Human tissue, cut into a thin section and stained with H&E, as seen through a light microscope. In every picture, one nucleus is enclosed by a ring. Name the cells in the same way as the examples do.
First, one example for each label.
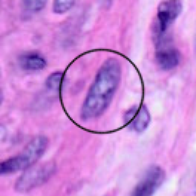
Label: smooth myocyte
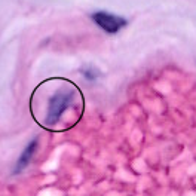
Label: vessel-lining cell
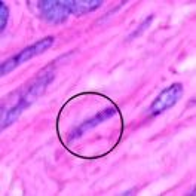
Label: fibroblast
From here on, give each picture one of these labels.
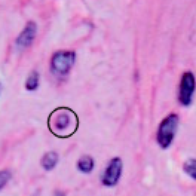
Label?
smooth myocyte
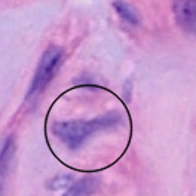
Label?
smooth myocyte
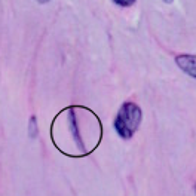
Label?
fibroblast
